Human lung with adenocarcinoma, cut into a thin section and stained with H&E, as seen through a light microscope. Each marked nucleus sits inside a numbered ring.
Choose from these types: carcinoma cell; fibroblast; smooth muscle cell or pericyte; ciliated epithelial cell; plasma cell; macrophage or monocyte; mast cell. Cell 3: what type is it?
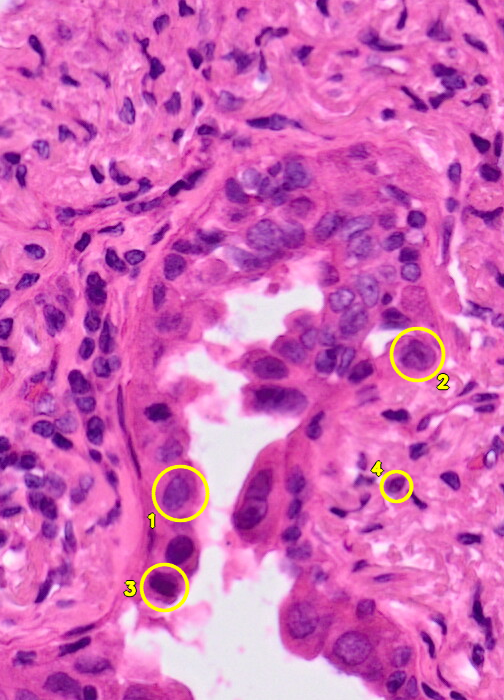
carcinoma cell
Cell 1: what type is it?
carcinoma cell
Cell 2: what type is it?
carcinoma cell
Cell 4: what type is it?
plasma cell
